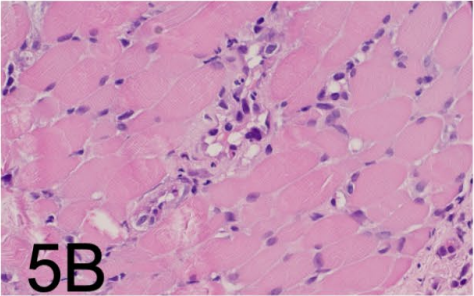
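Skeletal muscle cut in cross section, with polygonal pink fibers of fairly even size and flattened nuclei at their edges. Between the fibers runs a band of small dark round and elongated nuclei of inflammatory cells. The infiltrate clusters around small vessels with open clear lumina. The fibers beside the infiltrate keep their angular outlines.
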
